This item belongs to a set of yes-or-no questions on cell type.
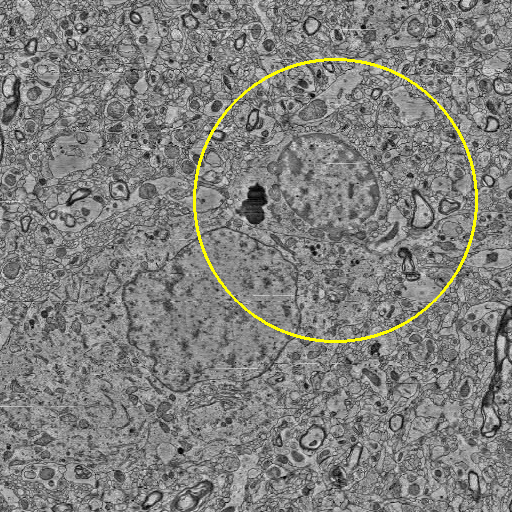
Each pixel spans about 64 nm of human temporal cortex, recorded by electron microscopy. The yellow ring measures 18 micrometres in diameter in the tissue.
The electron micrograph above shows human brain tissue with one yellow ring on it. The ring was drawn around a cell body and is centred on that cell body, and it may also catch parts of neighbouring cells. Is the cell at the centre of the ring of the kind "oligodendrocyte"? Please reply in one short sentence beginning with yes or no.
Yes, that cell is of the named kind.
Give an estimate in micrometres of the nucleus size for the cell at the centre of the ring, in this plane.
Approximately 7 micrometres long and 6 micrometres wide, in this plane.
